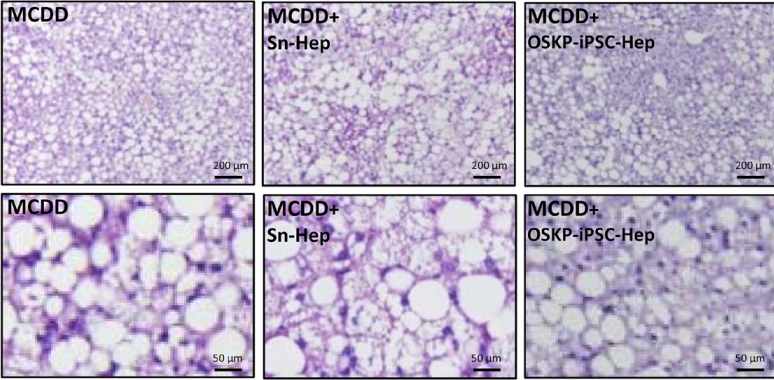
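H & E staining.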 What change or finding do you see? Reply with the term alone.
fat accumulation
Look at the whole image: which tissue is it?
liver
